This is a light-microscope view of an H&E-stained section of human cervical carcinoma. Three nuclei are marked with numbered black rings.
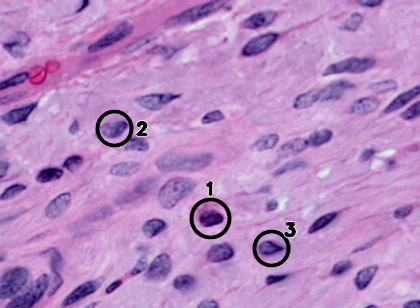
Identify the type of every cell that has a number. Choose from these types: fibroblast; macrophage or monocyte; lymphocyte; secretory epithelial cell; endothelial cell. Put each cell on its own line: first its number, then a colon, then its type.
1: lymphocyte
2: fibroblast
3: fibroblast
